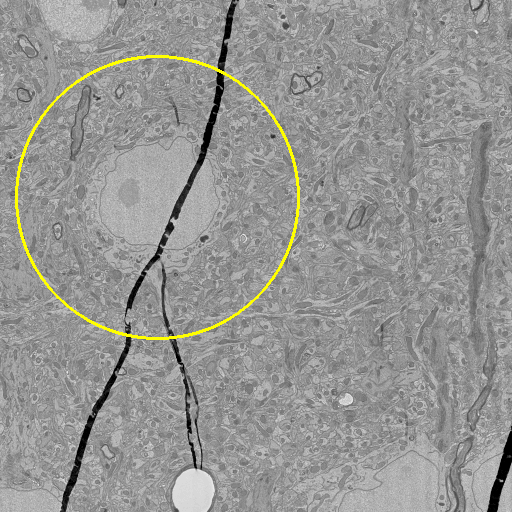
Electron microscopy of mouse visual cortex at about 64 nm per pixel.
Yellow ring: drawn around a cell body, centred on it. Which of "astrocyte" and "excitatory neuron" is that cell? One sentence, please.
That cell body is from an excitatory neuron.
